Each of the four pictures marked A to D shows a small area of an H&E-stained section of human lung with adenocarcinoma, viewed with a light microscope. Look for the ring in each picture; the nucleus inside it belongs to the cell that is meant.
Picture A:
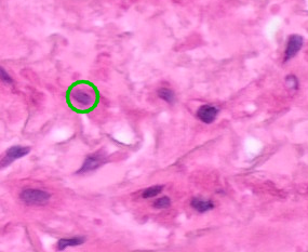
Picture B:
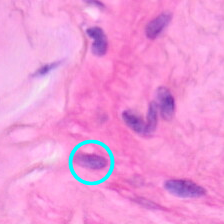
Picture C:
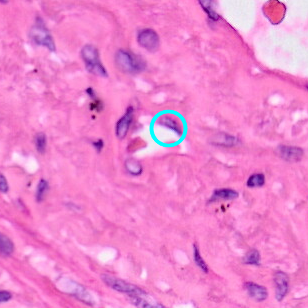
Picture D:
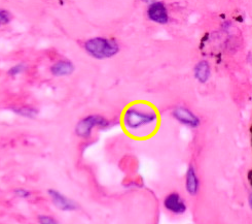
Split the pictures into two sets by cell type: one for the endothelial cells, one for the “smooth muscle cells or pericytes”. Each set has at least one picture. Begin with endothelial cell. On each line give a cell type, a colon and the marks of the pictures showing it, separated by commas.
endothelial cell: C, D
smooth muscle cell or pericyte: A, B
